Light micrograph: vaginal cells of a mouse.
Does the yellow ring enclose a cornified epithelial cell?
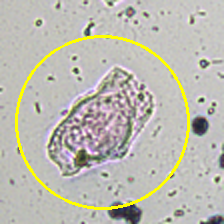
Yes. The ring encloses a cornified epithelial cell.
